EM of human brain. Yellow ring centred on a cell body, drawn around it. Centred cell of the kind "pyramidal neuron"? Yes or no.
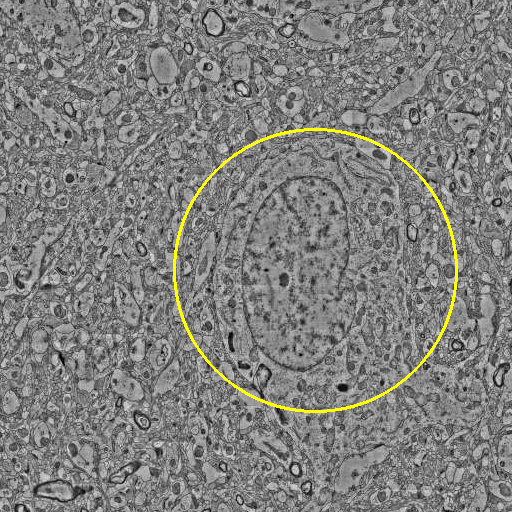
no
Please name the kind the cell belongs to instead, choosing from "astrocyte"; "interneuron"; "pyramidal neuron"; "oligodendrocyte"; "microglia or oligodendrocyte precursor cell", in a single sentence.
The cell circled by the yellow ring is an interneuron.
